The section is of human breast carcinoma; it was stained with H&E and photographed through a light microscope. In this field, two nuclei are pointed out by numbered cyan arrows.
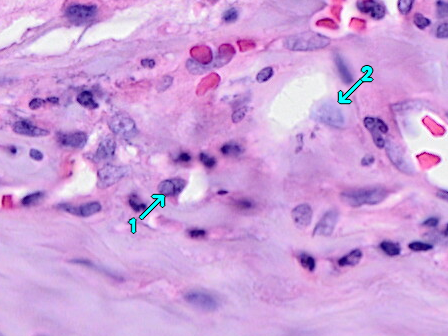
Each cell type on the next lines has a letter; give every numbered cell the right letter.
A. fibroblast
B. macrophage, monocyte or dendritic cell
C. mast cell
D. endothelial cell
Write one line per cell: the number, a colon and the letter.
1: C
2: A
